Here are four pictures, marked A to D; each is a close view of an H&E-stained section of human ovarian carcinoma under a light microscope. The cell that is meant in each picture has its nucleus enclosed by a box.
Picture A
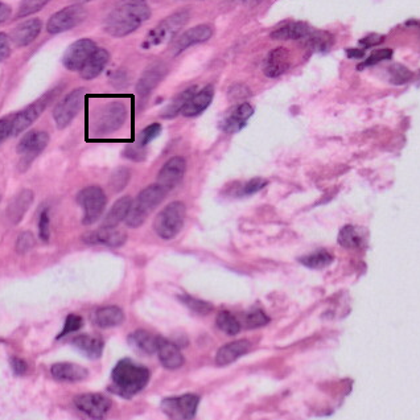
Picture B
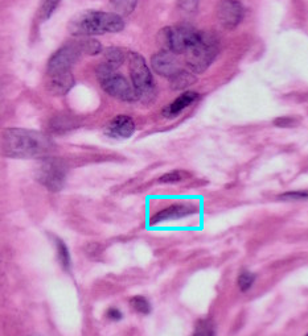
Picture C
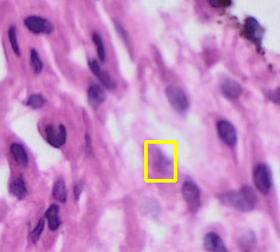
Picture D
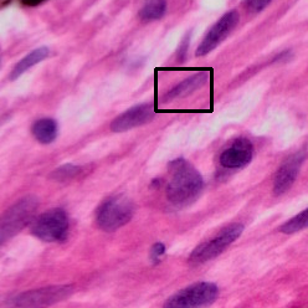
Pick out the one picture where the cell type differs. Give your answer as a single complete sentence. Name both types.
Picture A is the odd one out: it shows a carcinoma cell, while the others show fibroblasts.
